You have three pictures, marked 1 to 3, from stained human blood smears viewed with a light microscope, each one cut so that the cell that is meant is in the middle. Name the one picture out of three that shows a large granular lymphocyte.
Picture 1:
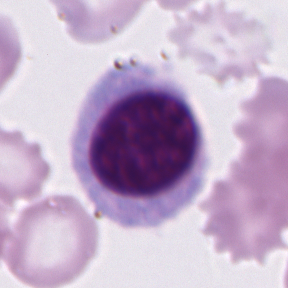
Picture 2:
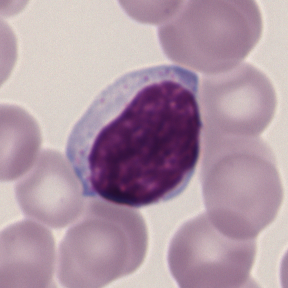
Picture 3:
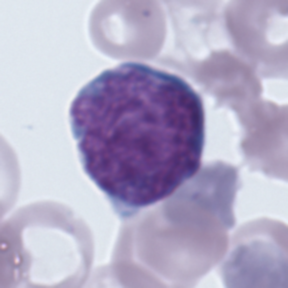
2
